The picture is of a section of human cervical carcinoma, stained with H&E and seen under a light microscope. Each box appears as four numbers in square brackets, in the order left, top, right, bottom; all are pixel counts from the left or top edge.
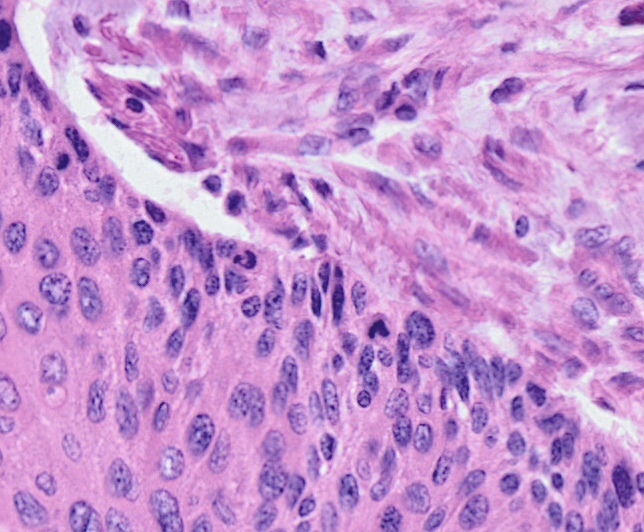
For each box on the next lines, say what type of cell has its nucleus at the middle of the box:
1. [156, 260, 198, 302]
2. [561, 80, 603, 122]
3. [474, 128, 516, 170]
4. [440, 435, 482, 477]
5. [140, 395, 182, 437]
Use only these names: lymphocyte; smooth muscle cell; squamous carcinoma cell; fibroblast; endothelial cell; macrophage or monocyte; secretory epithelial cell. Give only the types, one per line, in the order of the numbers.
squamous carcinoma cell
fibroblast
fibroblast
squamous carcinoma cell
squamous carcinoma cell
